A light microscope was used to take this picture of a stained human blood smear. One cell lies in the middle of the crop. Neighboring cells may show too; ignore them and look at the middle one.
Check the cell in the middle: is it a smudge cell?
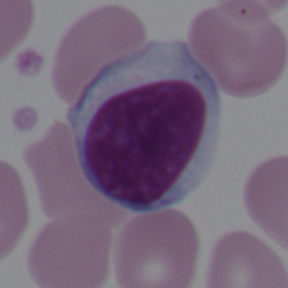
no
